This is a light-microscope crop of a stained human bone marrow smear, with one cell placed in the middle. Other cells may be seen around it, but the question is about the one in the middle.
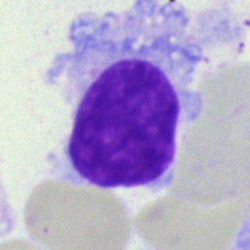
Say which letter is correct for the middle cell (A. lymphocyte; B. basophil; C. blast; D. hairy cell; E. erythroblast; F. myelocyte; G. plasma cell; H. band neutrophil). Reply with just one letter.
D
